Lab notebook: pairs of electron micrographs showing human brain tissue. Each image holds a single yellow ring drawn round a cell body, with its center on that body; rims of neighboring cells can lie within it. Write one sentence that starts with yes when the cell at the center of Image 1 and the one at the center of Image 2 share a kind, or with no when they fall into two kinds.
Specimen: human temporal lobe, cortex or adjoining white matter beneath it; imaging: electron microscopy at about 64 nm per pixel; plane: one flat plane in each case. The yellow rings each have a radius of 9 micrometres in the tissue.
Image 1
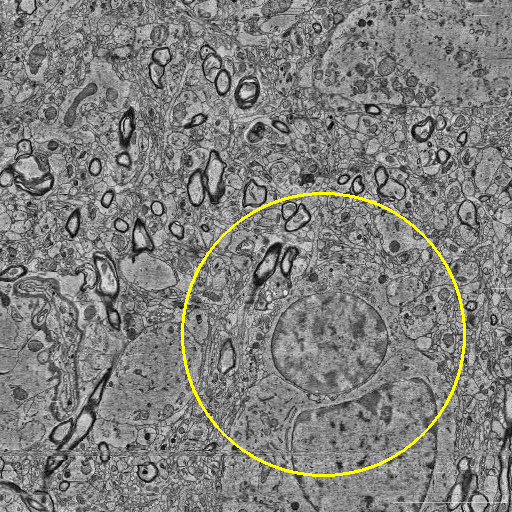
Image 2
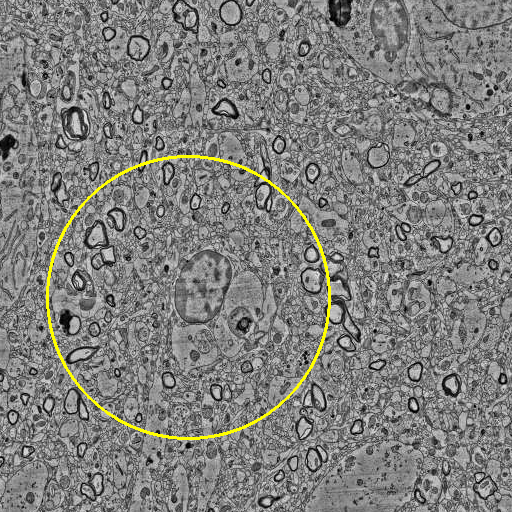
No, the centered cell in Image 1 and the centered cell in Image 2 are of two kinds.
